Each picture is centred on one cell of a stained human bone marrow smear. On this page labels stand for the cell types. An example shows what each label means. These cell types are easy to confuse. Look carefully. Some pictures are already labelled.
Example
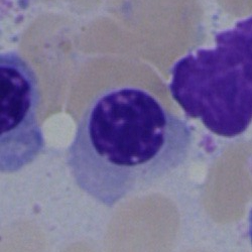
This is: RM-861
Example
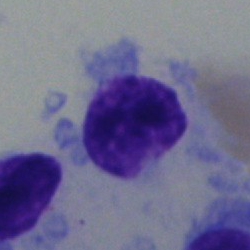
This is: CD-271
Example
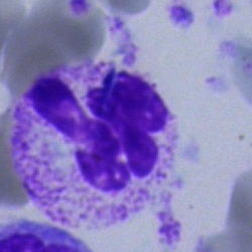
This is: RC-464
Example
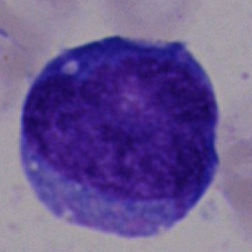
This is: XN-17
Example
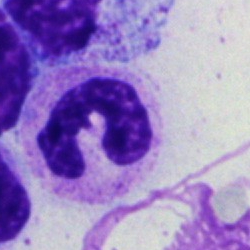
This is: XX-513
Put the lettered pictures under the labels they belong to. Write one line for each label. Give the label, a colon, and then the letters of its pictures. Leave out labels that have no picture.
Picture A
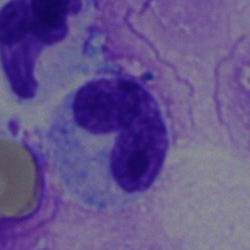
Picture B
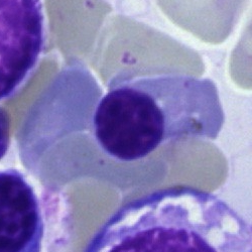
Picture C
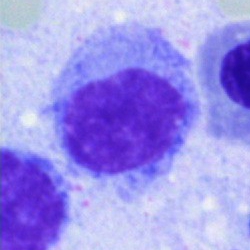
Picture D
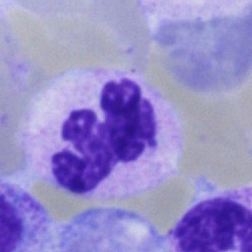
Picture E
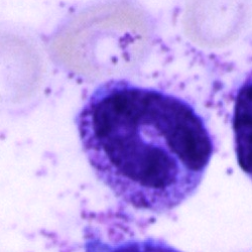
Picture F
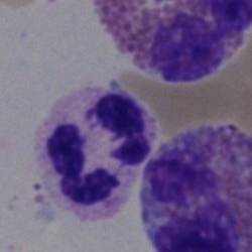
RM-861: B
CD-271: C
RC-464: D, F
XX-513: A, E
